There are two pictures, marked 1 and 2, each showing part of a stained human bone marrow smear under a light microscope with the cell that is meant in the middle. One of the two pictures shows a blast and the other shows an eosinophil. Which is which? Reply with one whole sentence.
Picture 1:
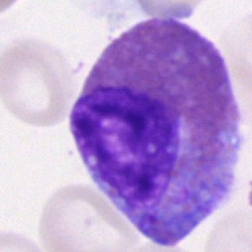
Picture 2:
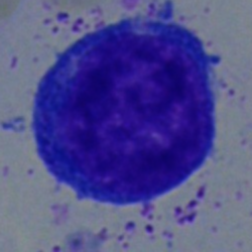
In picture 1 the cell is an eosinophil; in picture 2, a blast.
